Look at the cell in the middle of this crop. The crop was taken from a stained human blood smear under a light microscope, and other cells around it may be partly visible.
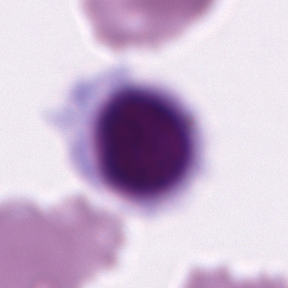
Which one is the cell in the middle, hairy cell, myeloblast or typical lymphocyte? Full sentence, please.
The cell of interest, located centrally, is a hairy cell.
